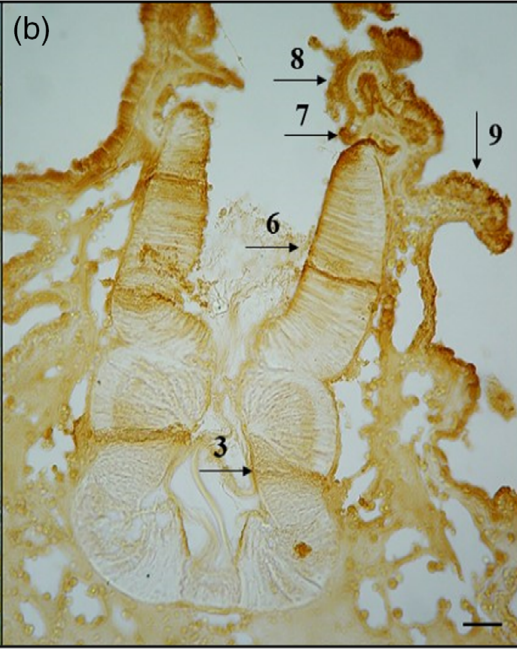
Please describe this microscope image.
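This is a cross-section of the endostyle, a grooved organ whose walls are built of tall columnar epithelial cells arranged in distinct bands on each side of a central groove. Brown staining is strongest in the ruffled, folded epithelium at the upper edges beside the tips of the two tall striated bands, and is fainter in those striated columnar cells and in a thin line of cells near the floor of the groove.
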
